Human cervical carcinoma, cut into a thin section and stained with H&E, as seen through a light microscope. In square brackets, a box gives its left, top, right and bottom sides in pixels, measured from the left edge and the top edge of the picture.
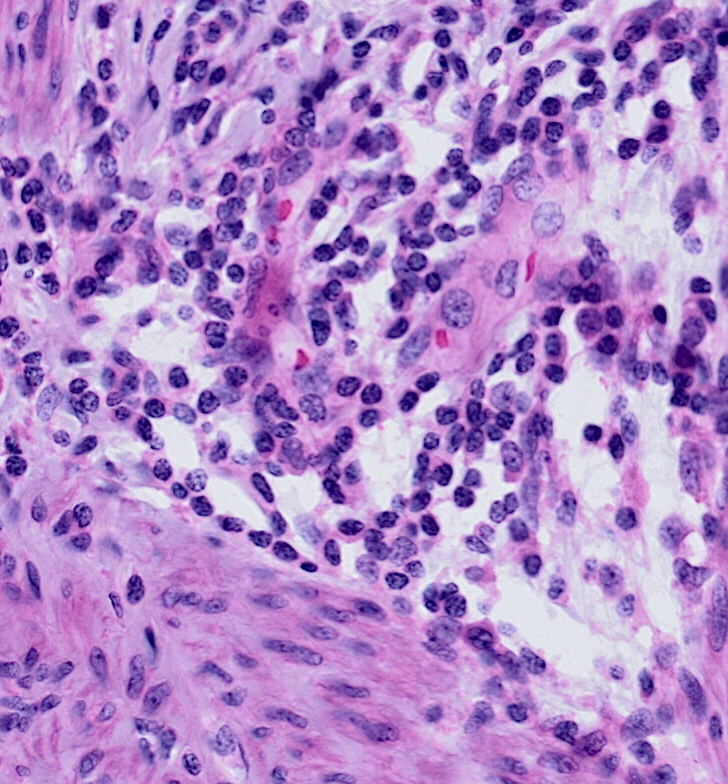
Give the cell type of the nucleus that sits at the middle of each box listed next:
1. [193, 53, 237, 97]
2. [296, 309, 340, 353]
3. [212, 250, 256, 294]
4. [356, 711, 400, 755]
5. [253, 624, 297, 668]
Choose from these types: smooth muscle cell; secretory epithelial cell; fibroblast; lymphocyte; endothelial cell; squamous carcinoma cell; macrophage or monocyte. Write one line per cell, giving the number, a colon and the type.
1: lymphocyte
2: lymphocyte
3: lymphocyte
4: smooth muscle cell
5: smooth muscle cell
